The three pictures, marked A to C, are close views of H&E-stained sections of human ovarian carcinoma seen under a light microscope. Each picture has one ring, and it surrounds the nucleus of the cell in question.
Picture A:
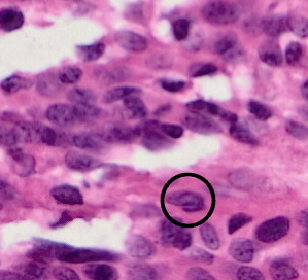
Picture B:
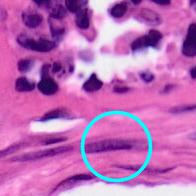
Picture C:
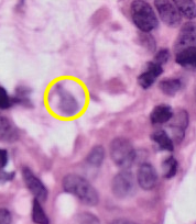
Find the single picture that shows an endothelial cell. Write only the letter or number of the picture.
A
